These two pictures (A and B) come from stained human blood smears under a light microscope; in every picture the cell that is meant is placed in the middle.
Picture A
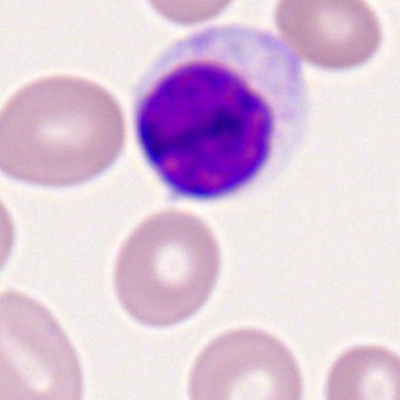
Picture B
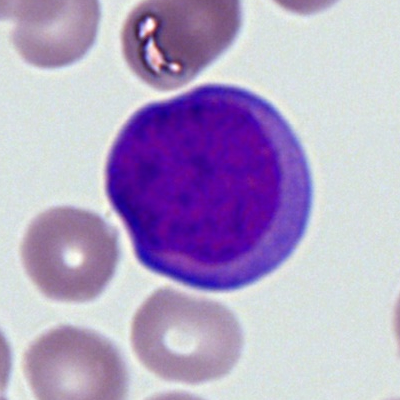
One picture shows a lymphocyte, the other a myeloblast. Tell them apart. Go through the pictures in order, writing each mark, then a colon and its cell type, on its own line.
A: lymphocyte
B: myeloblast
